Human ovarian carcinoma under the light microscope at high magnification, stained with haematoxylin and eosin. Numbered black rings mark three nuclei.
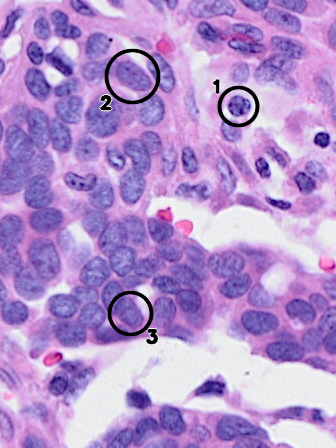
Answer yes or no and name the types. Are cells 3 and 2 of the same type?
Yes, as for cells 3 and 2, both are carcinoma cells.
